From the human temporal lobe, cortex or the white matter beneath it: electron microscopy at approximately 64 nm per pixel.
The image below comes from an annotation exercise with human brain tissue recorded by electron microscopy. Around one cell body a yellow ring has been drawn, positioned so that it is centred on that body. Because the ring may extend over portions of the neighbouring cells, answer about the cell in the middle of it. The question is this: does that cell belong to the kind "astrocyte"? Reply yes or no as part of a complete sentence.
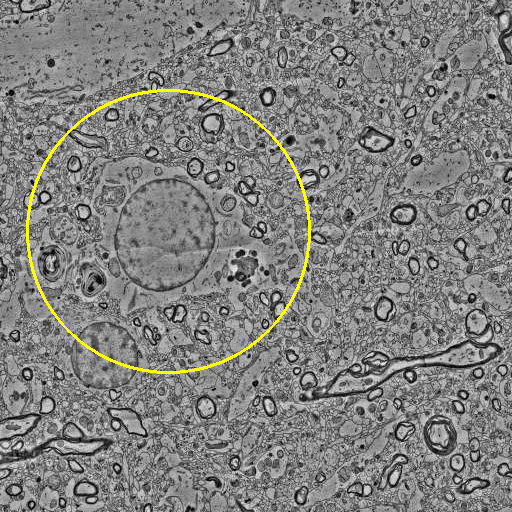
Yes, in the image the cell in the middle of the ring is of the kind asked about.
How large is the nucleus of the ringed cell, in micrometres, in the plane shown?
The nucleus appears roughly 7 by 6 micrometres in this plane.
